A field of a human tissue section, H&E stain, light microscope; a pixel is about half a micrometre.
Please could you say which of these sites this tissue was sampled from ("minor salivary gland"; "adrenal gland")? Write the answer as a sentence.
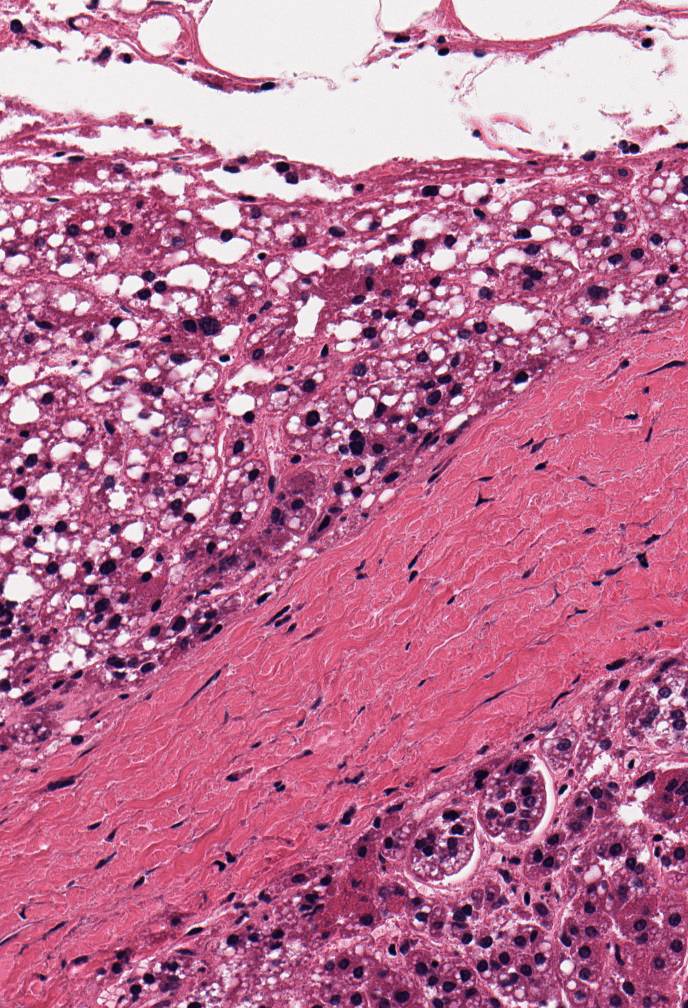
The site this tissue was sampled from is the adrenal gland.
